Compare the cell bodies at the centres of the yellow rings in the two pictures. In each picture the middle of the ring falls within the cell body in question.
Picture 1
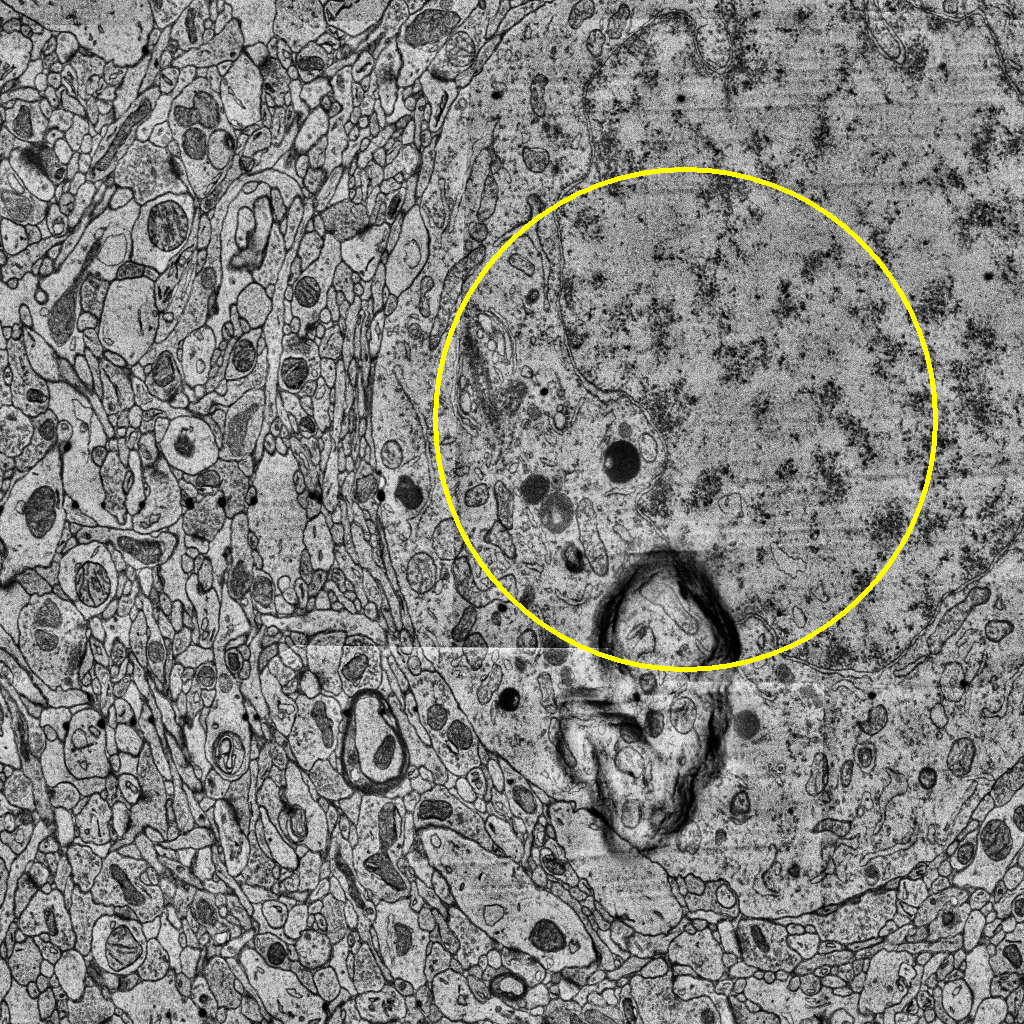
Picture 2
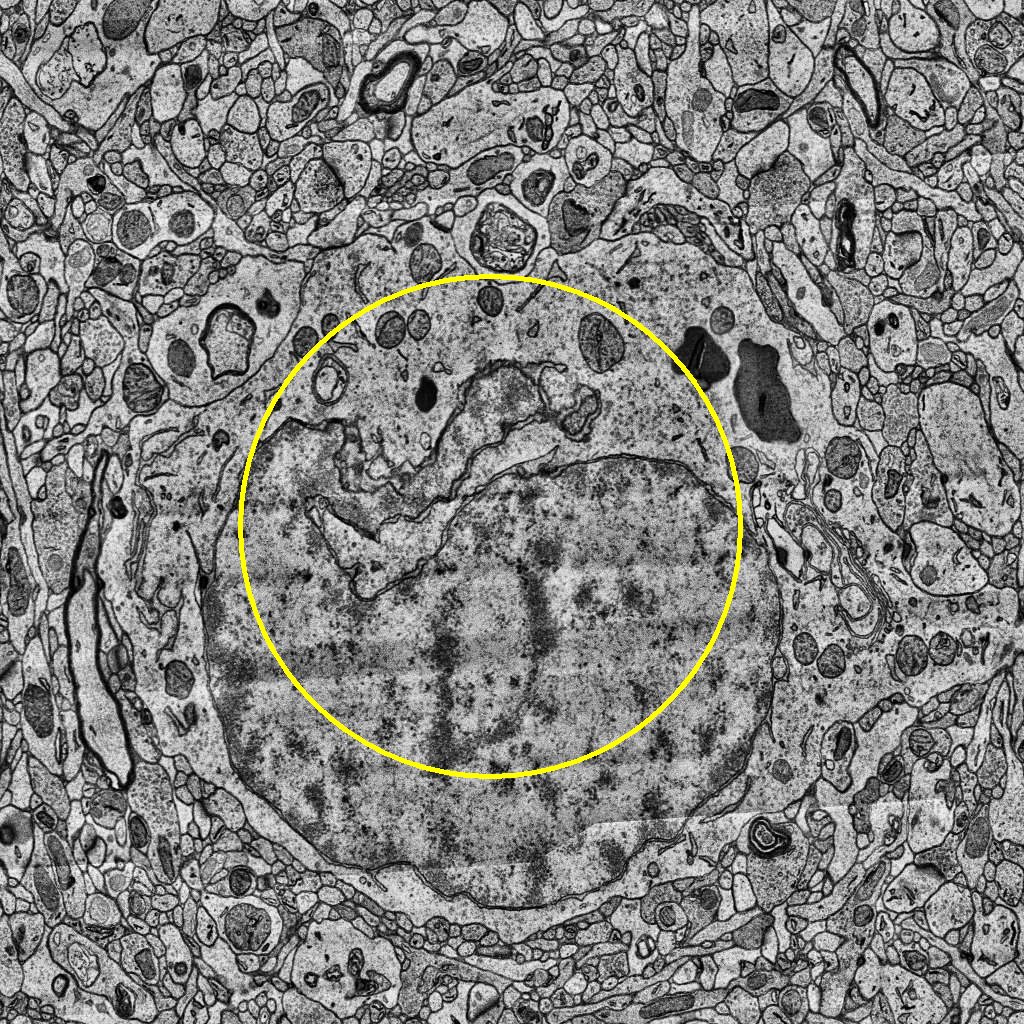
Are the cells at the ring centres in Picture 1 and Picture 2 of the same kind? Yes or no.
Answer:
yes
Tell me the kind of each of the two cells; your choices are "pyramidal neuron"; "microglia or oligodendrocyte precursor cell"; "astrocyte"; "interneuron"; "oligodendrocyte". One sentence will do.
Each of the two cells is an interneuron.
